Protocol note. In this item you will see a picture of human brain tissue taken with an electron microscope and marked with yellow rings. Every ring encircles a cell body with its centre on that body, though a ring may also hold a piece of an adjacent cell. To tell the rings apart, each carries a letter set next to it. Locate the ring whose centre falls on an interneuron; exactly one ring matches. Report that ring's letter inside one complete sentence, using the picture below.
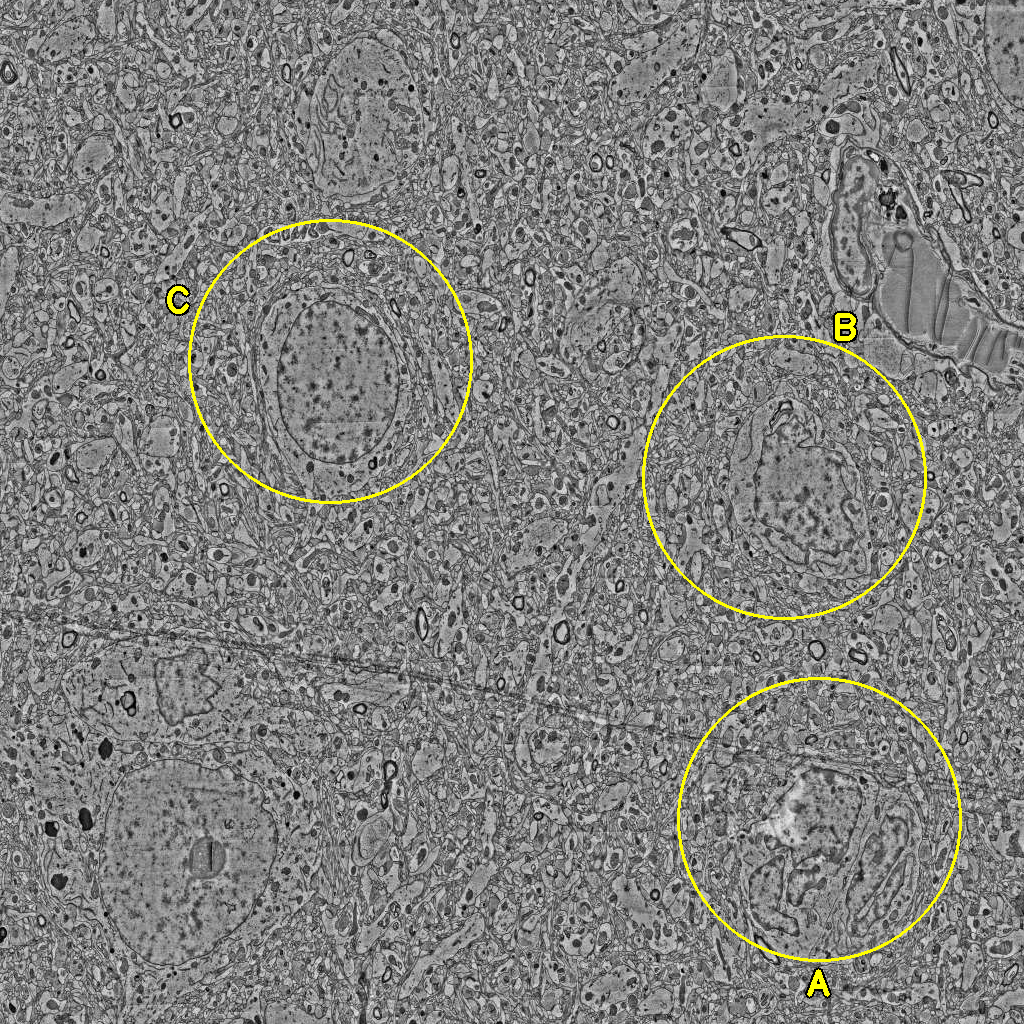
My answer is B, the ring whose centre falls on that kind of cell.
